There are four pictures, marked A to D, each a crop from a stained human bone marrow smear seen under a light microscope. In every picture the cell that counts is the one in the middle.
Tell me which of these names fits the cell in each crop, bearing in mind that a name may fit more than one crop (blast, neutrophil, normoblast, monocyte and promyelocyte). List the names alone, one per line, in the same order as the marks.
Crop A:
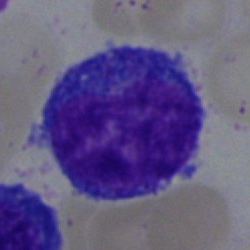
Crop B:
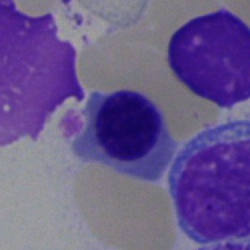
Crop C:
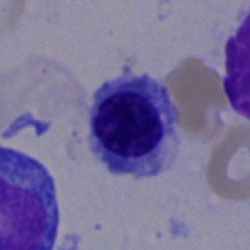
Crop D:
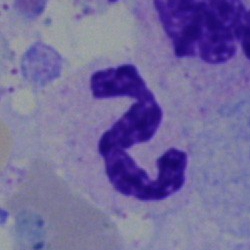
promyelocyte
normoblast
normoblast
neutrophil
